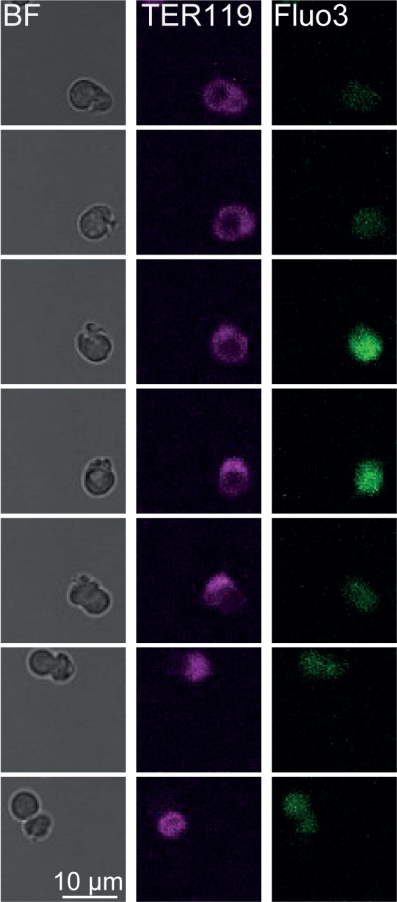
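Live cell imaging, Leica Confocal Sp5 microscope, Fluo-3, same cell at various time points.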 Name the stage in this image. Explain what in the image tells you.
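Nuclear extrusion. In the upper frames a single rounded cell carries a small bulge on one side. In the lower frames two round bodies lie side by side. The magenta signal stays with only one of the two bodies.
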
